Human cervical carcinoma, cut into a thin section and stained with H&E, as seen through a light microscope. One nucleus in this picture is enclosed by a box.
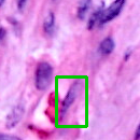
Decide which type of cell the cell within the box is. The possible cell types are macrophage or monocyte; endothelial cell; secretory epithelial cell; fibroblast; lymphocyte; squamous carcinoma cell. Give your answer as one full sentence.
Placed in its cell category, the cell within the box is an endothelial cell.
